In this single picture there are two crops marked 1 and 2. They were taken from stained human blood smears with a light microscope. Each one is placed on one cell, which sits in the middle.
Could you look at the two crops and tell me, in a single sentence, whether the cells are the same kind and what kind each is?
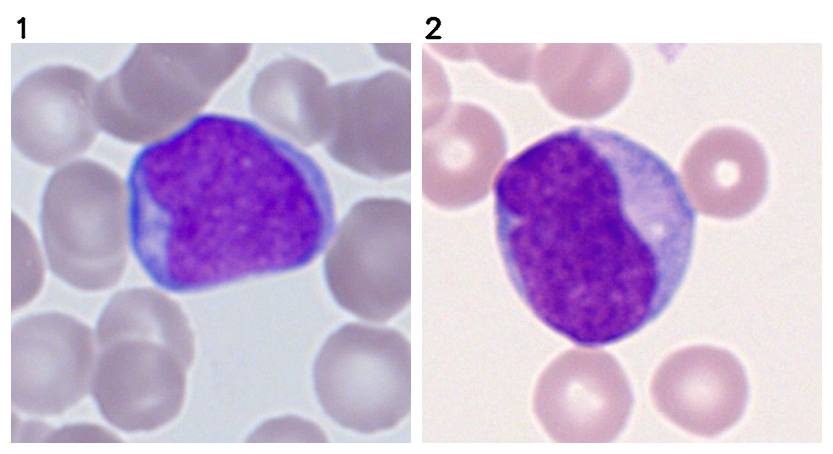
Yes, both crops show myeloblasts at their middles.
